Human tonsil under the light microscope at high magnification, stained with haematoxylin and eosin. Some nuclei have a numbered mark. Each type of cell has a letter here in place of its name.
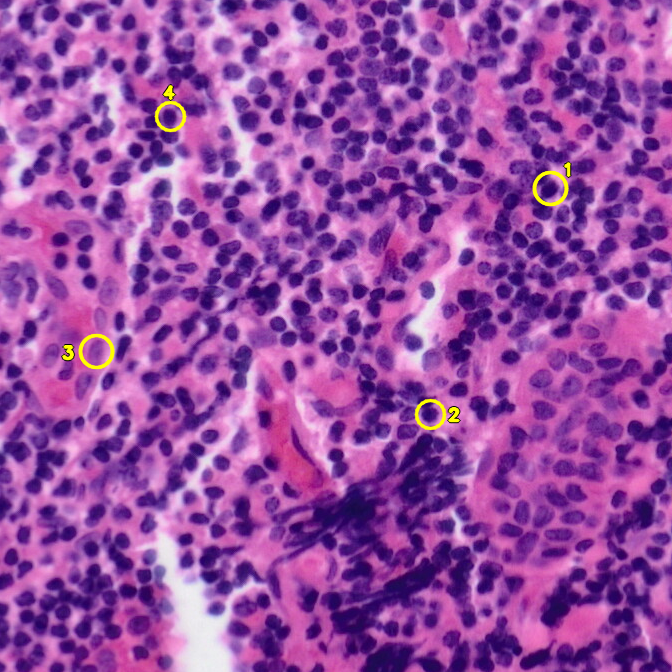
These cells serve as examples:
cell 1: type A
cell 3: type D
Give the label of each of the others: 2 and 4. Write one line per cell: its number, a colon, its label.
2: type A
4: type A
